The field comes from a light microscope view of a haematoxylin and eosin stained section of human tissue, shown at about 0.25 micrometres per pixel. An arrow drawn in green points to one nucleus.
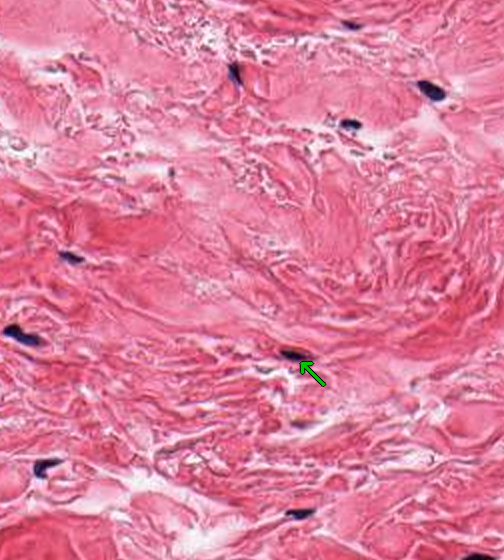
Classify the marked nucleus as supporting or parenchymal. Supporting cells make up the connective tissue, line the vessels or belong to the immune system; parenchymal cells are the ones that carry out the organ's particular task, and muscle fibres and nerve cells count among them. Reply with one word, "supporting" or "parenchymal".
supporting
